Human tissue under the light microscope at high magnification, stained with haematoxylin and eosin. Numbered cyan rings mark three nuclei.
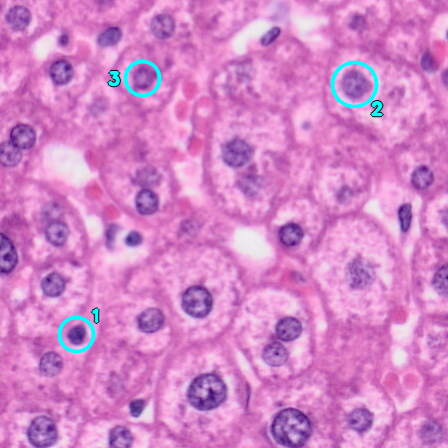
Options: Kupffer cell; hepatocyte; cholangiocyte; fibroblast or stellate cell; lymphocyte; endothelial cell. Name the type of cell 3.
hepatocyte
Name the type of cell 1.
lymphocyte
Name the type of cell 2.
hepatocyte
